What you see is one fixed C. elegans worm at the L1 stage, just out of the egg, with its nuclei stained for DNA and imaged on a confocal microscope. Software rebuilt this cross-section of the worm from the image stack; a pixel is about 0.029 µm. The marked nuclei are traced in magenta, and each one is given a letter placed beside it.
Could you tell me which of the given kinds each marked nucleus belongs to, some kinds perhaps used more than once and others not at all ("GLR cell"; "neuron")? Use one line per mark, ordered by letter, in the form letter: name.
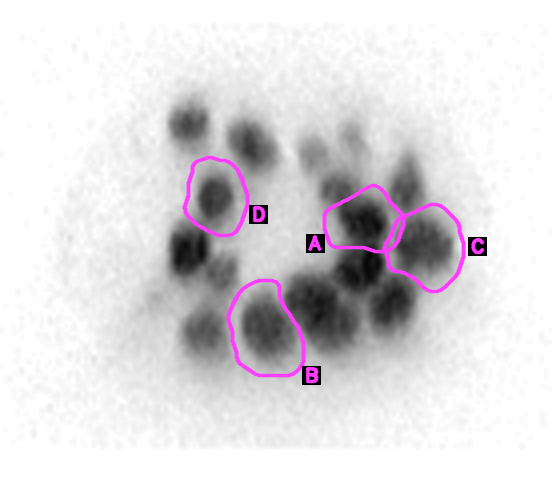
A: GLR cell
B: neuron
C: neuron
D: GLR cell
